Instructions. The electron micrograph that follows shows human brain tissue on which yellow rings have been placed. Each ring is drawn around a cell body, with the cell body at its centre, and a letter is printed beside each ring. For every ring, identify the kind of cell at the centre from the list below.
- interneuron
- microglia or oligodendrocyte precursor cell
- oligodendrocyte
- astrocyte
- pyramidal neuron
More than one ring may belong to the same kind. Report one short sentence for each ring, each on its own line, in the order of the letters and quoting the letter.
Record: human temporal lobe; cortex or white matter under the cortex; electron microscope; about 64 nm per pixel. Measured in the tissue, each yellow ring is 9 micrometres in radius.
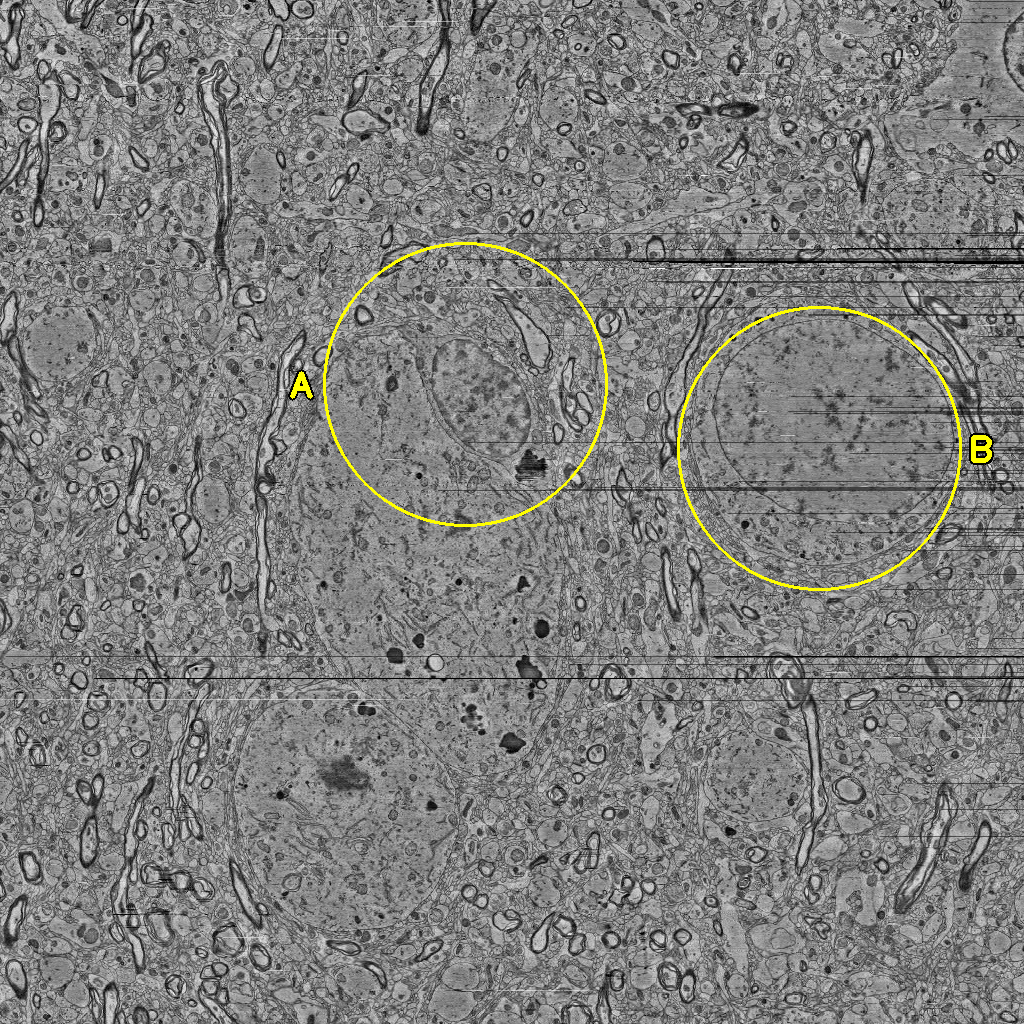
The centre of ring A is occupied by an oligodendrocyte.
The centre of ring B is occupied by a pyramidal neuron.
